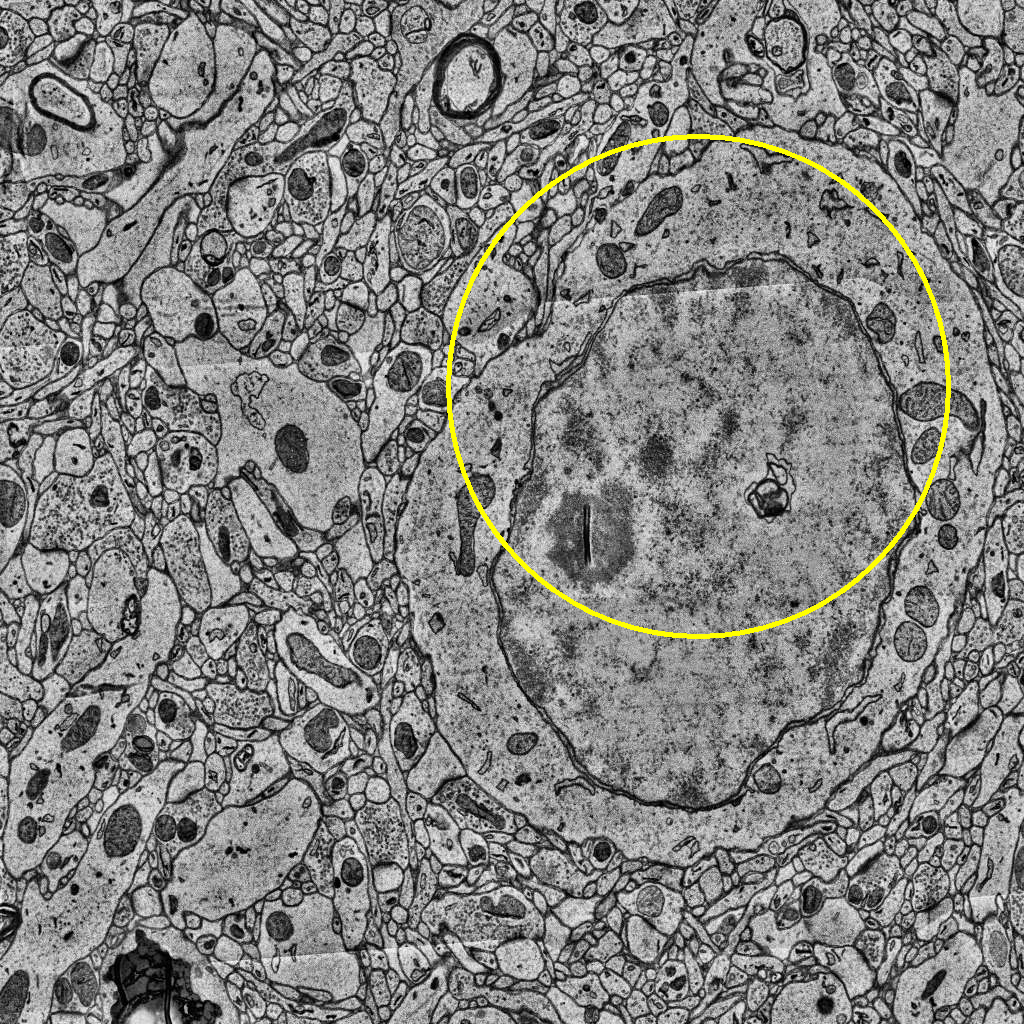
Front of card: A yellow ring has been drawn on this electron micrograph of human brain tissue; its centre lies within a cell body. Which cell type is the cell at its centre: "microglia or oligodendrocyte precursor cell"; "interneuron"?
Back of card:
interneuron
